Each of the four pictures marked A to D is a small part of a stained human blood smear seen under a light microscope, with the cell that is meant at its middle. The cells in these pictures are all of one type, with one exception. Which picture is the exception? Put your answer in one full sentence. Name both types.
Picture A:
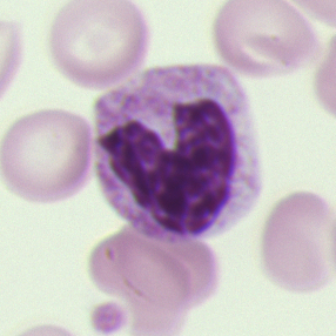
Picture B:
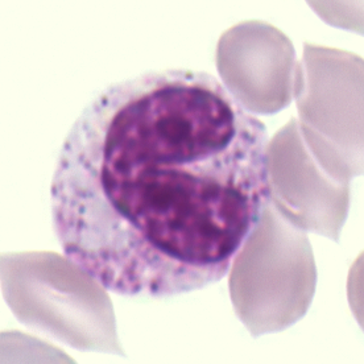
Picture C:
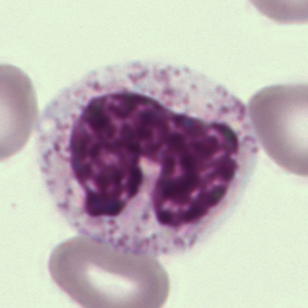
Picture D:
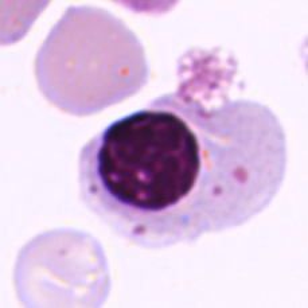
The others show band neutrophils, but picture D shows a normoblast.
